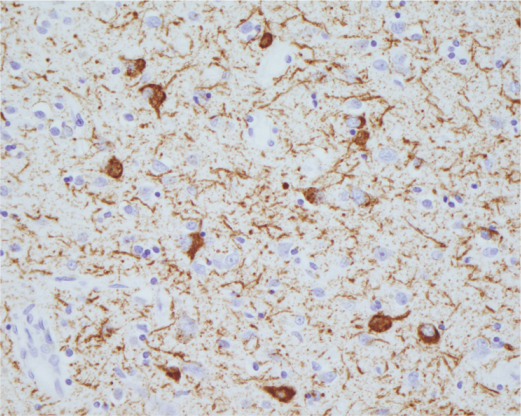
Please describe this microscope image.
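Brain tissue with scattered neurons whose cell bodies are filled with dense brown neurofibrillary tangles, several of them triangular or flame-shaped, some with a brown process extending from them. A dense meshwork of fine brown threads runs through the neuropil. Many blue nuclei of unstained cells lie between them.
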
